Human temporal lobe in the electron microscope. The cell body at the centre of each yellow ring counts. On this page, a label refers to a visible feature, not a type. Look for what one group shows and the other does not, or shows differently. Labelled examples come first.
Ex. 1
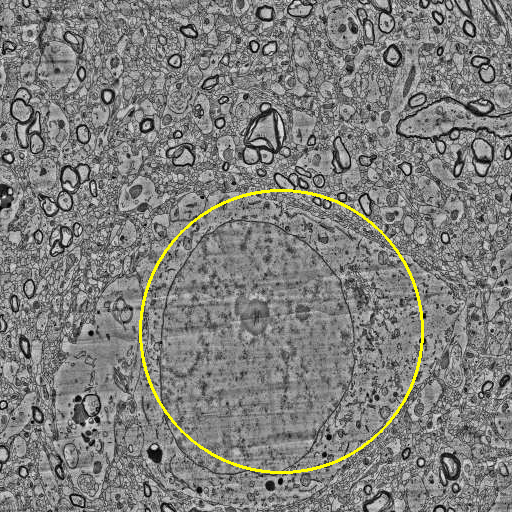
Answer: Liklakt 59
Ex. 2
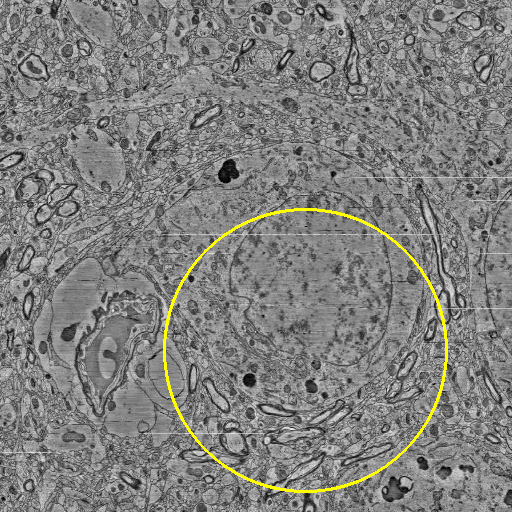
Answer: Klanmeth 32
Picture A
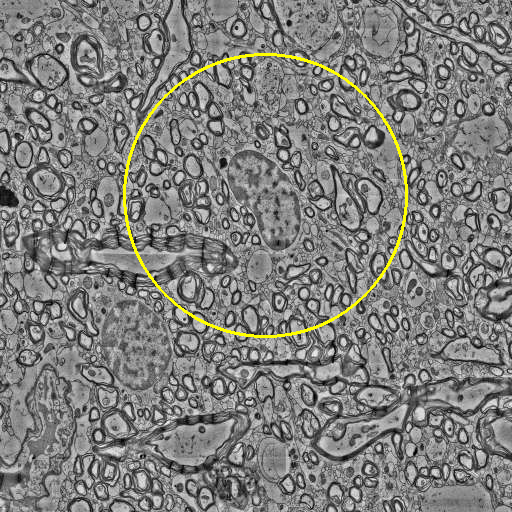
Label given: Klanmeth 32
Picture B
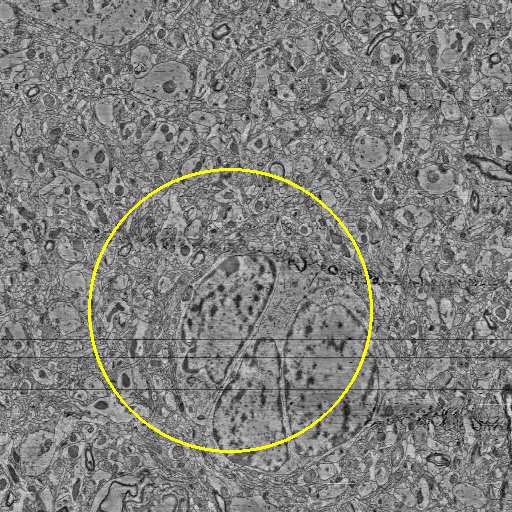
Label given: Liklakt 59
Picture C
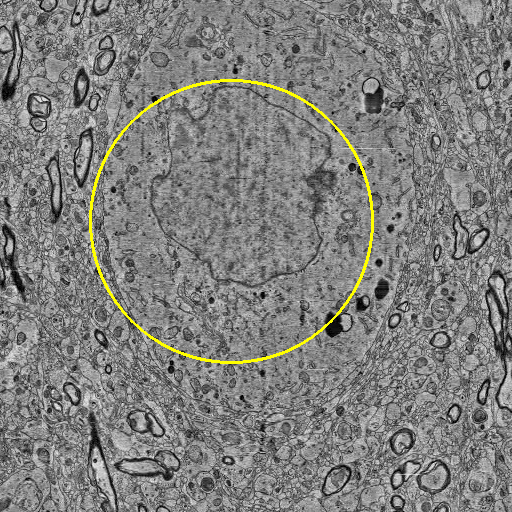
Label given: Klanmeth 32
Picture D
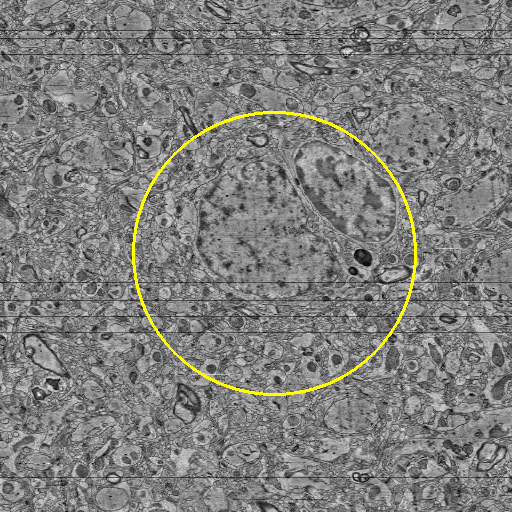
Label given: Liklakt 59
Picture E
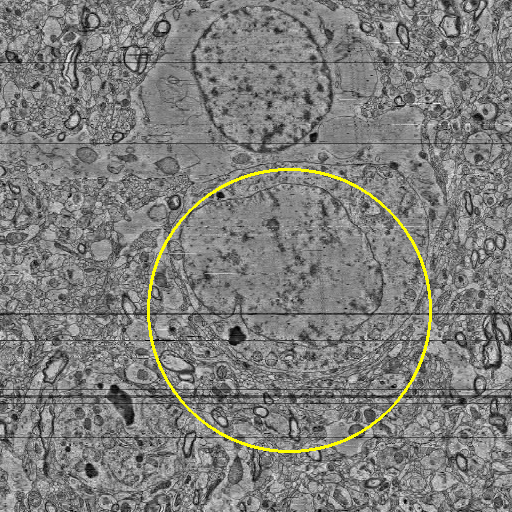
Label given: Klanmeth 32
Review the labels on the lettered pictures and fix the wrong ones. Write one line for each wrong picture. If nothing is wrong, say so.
A should be Liklakt 59, not Klanmeth 32
B should be Klanmeth 32, not Liklakt 59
